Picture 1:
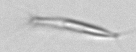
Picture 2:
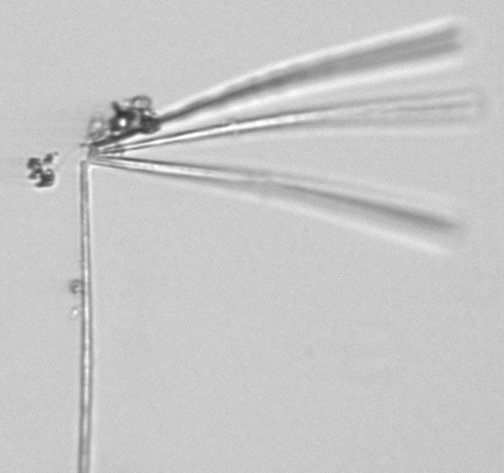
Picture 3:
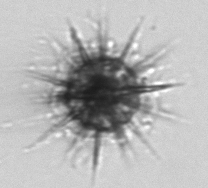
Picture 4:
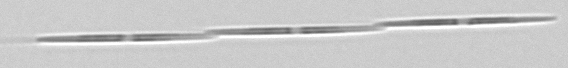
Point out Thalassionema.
That is picture 2.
